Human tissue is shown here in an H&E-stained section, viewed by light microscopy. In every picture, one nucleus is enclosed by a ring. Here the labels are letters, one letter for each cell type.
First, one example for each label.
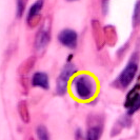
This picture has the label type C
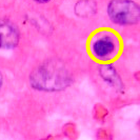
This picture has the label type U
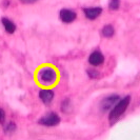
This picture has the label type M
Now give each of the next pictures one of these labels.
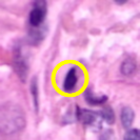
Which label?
type C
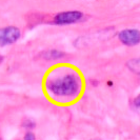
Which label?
type C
